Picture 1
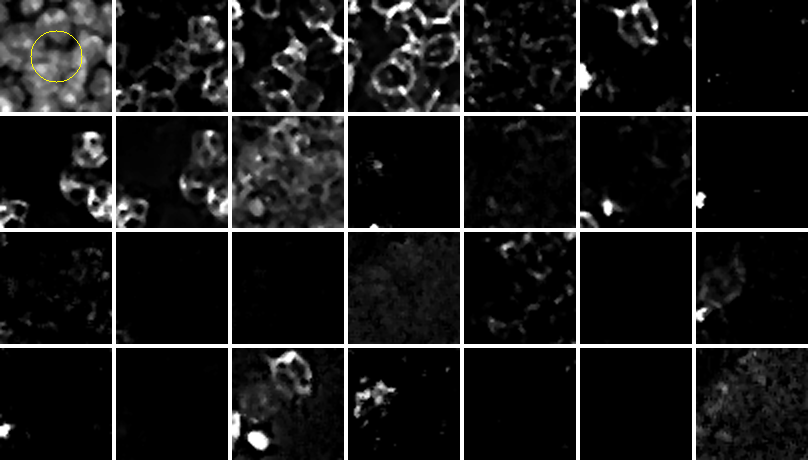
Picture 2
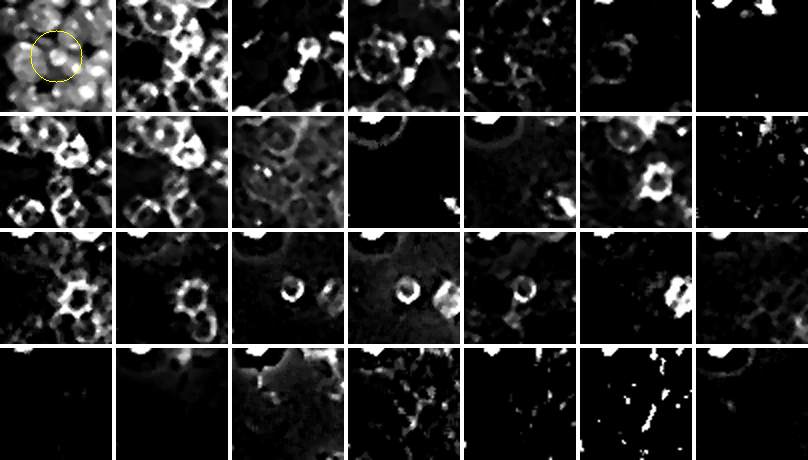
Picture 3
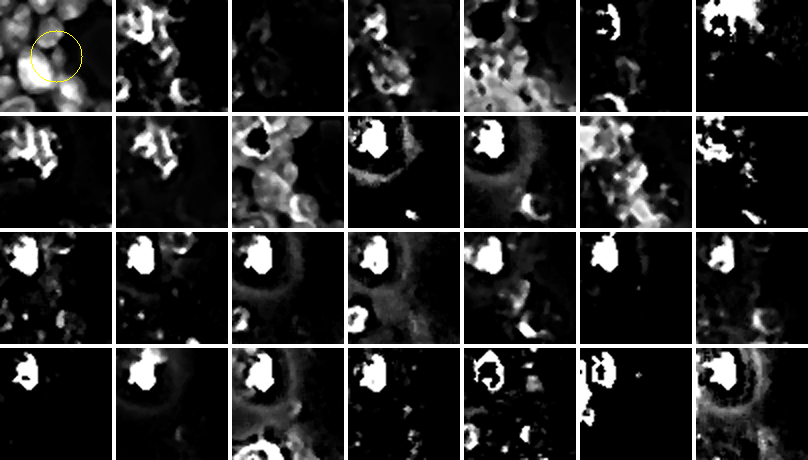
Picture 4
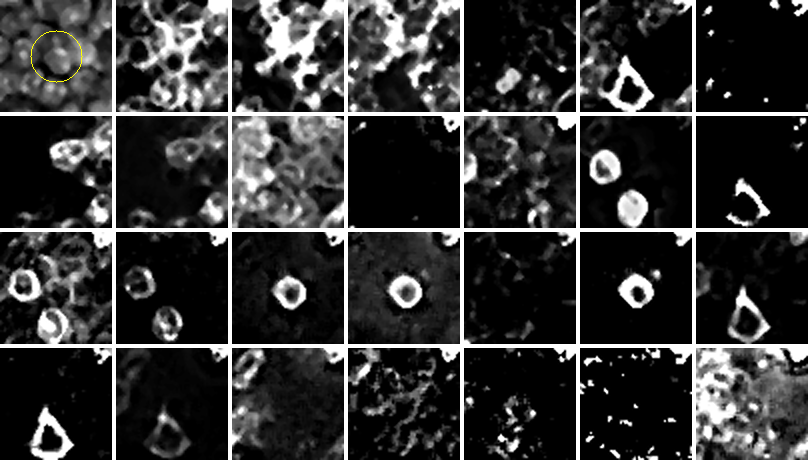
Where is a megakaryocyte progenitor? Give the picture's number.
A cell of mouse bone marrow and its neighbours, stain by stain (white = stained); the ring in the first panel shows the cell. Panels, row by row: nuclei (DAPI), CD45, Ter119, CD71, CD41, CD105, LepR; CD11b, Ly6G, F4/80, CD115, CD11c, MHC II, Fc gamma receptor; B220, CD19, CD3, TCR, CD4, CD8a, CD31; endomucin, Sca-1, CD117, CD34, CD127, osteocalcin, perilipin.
3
